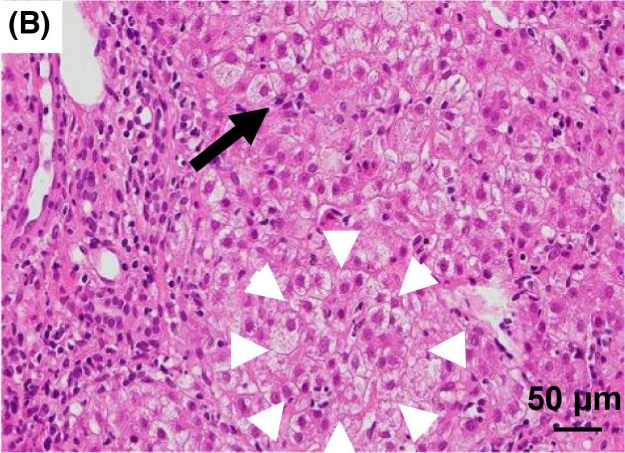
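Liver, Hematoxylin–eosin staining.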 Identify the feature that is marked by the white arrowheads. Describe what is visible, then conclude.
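Rosette. Hepatocytes inside the marked area are grouped in small rounded clusters rather than regular plates. The clustered hepatocytes have pale cytoplasm.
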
